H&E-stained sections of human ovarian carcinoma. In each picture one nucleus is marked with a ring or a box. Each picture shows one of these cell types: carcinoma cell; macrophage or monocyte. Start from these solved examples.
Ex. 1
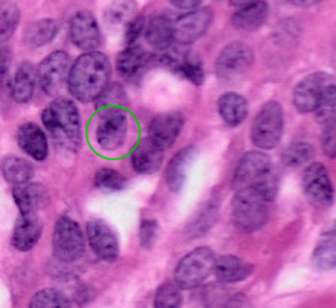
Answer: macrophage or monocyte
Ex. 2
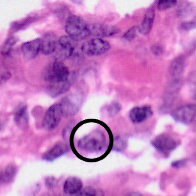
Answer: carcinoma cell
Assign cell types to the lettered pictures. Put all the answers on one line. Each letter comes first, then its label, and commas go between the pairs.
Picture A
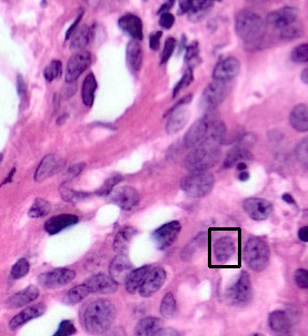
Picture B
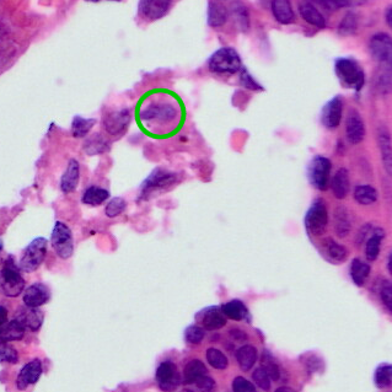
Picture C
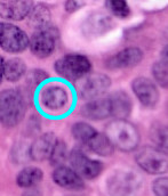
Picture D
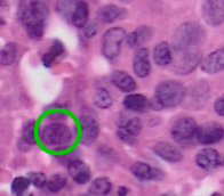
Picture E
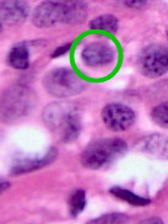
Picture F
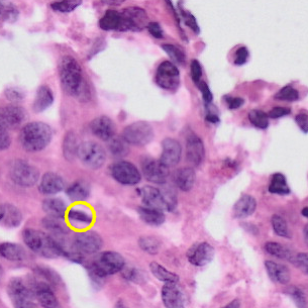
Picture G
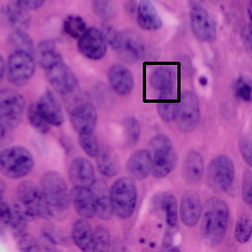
A carcinoma cell, B macrophage or monocyte, C macrophage or monocyte, D carcinoma cell, E macrophage or monocyte, F carcinoma cell, G carcinoma cell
